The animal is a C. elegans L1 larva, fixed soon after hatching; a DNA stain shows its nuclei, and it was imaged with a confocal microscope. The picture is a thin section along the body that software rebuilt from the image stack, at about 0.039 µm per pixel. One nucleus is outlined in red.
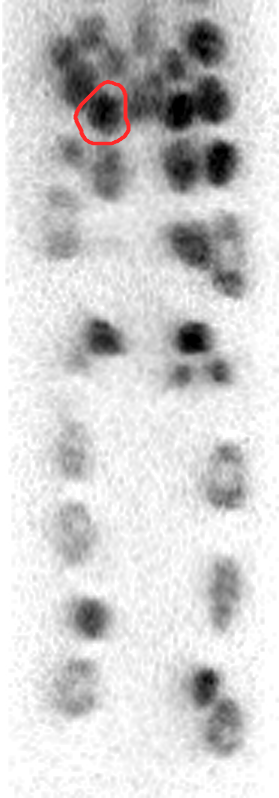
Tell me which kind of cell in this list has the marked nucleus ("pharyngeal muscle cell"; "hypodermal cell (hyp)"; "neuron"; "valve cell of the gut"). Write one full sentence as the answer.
The marked nucleus is that of a neuron.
